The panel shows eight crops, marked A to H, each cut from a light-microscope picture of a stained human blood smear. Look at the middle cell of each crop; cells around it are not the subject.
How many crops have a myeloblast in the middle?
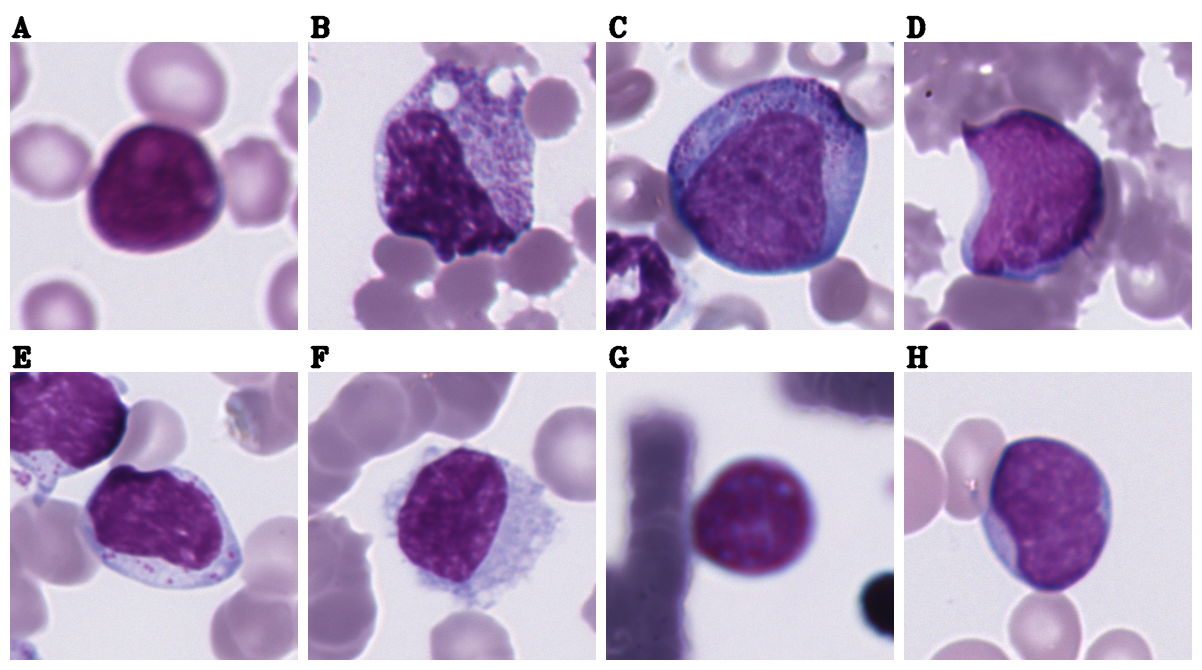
4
